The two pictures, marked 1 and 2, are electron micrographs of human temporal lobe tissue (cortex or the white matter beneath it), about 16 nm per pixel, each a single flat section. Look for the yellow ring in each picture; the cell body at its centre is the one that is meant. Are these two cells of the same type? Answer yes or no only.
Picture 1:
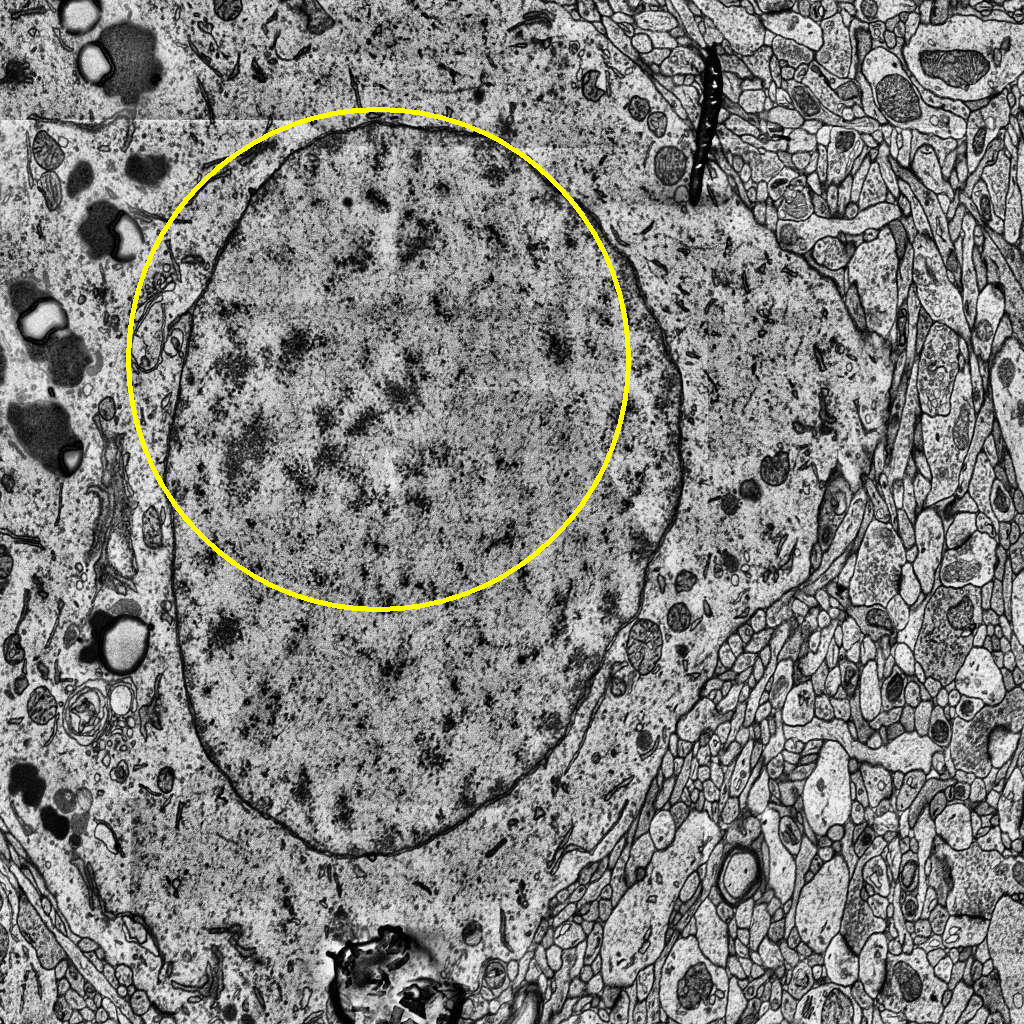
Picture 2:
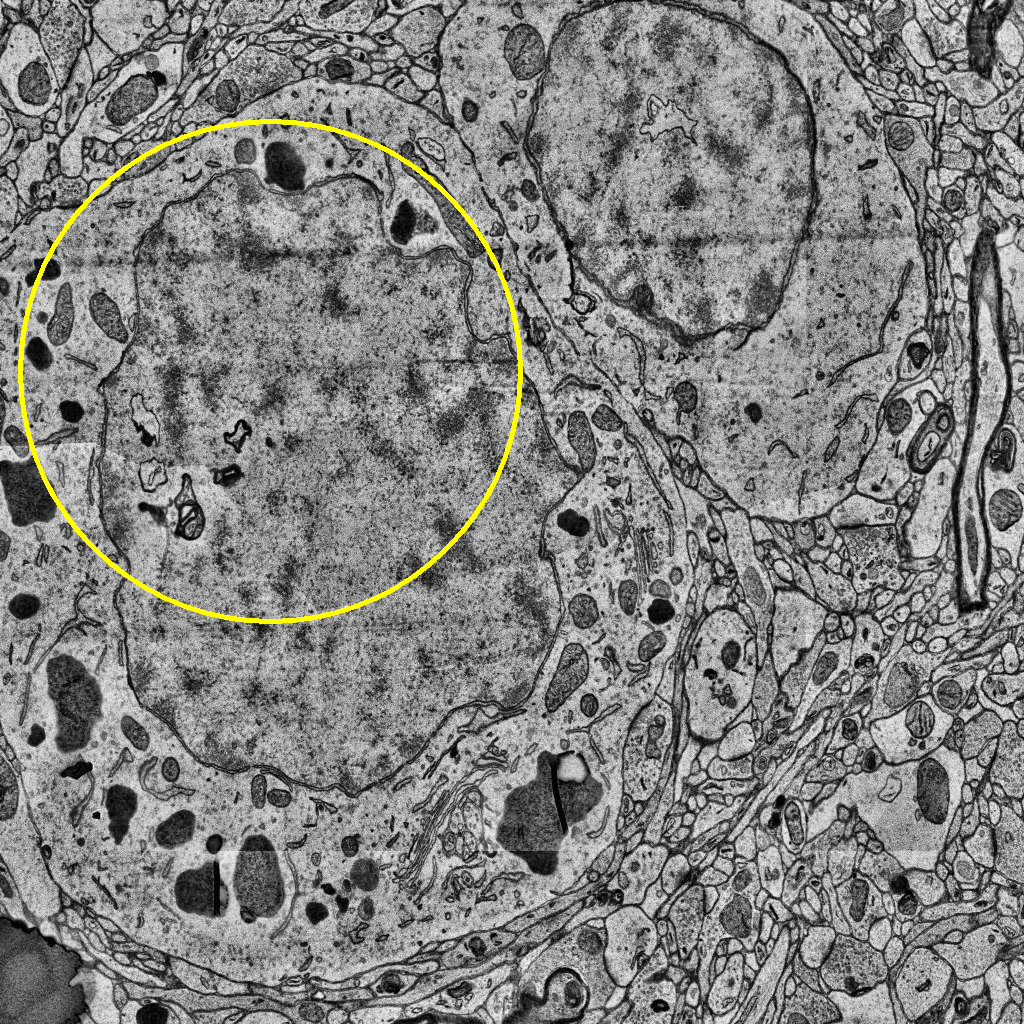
no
